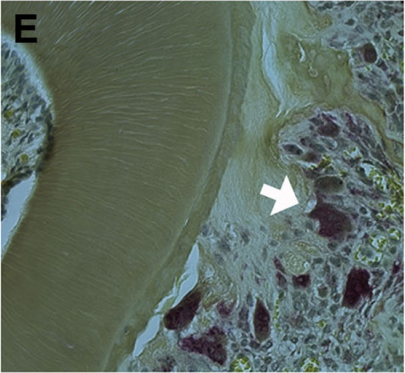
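This is a high-magnification view of tissue lying against a root surface, with large osteoclasts in it. On the left is a broad, smooth, pale olive-coloured hard tissue with fine parallel lines. To its right lies soft tissue with small bluish cells and fibres. Among these are several large cells stained dark purple to red-purple, much bigger than their neighbours and irregular in outline; one of them is marked by a white arrow. These large cells lie close to the hard-tissue surface and scattered within the adjoining connective tissue.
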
